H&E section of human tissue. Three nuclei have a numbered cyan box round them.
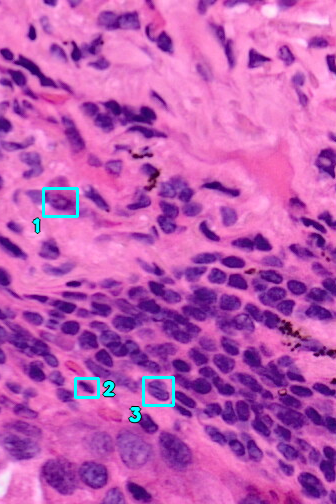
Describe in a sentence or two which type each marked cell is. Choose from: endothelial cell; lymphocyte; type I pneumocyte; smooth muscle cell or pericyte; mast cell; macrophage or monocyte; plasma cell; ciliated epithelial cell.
Cell 1 is a plasma cell, cell 2 is a lymphocyte and cell 3 is a lymphocyte.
